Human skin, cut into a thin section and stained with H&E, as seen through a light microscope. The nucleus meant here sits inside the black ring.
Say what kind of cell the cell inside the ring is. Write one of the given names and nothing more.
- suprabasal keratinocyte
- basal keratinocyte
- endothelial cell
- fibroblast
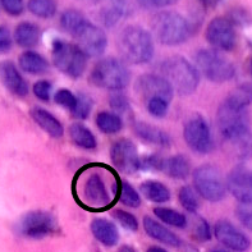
basal keratinocyte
